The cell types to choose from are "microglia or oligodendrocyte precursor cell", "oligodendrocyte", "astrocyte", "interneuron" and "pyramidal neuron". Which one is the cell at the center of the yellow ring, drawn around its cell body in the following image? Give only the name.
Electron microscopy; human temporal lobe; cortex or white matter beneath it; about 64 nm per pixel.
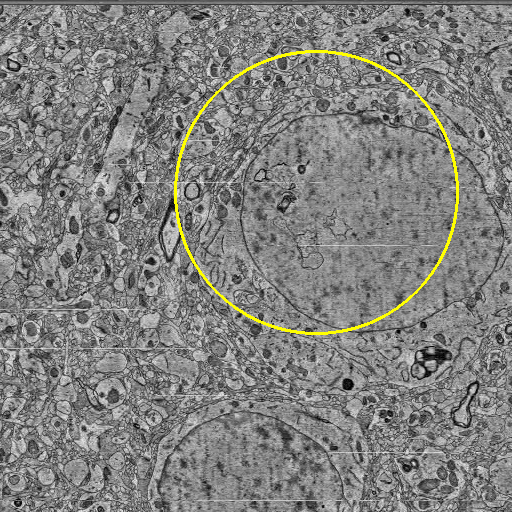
pyramidal neuron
